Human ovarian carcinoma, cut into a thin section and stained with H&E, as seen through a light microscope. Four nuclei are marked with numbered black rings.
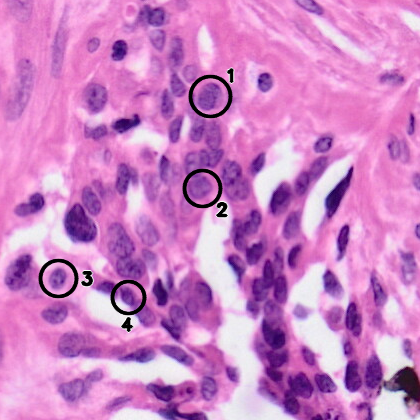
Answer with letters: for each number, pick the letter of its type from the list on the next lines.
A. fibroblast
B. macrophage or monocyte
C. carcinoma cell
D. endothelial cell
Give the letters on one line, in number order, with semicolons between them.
C; C; B; C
